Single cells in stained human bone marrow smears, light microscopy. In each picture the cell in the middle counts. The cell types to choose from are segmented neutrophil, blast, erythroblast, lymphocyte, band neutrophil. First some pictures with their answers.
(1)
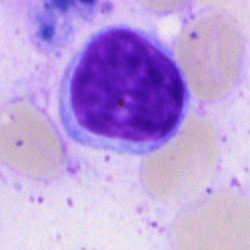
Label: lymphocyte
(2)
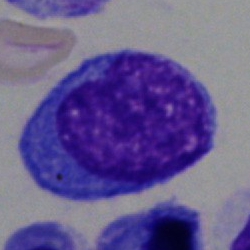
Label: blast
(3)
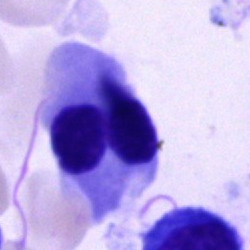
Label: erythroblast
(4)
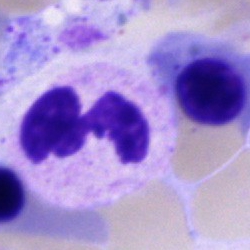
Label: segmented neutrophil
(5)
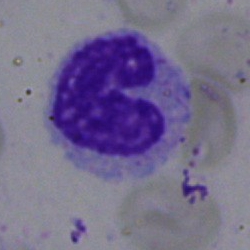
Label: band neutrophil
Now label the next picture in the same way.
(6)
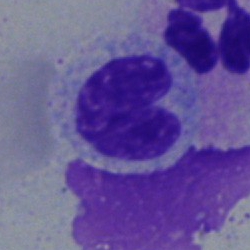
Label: band neutrophil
